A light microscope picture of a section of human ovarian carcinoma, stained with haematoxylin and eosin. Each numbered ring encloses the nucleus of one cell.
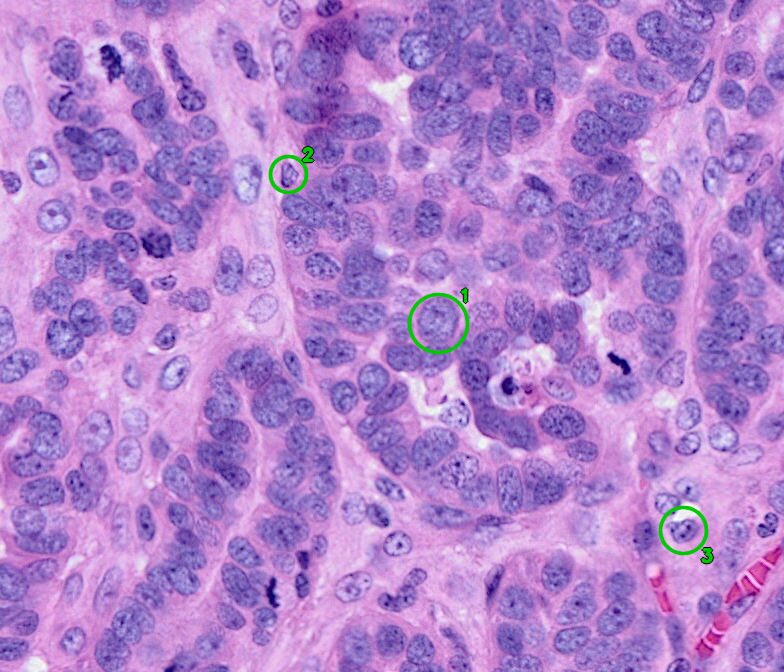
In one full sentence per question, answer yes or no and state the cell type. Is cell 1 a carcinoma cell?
Yes, the one numbered 1 is a carcinoma cell.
